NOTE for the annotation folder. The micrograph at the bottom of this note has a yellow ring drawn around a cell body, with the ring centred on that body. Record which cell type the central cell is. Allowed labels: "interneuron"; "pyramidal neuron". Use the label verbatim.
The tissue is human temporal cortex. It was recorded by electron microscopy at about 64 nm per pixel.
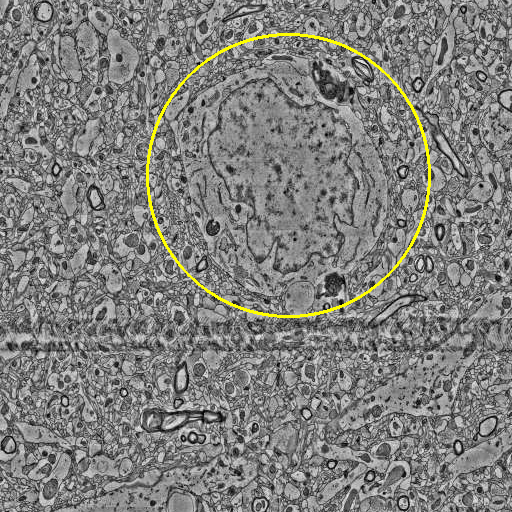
interneuron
